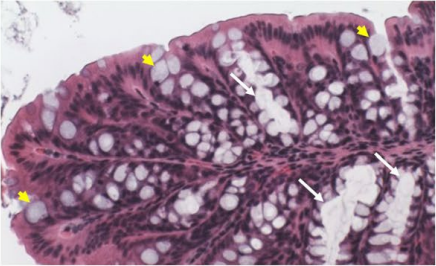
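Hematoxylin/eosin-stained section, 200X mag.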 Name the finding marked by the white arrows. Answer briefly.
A: Crypt plugging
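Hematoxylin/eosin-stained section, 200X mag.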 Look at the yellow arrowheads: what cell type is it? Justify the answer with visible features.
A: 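The arrowheads point to large, pale, rounded mucus-filled cells in the surface epithelium. These pale cells are wider than the neighbouring columnar cells. So: enlarged goblet cells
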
